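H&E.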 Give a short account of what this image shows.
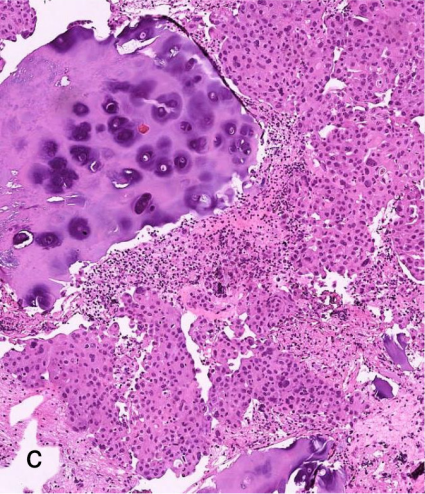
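A nodule of hyaline cartilage lies at upper left: a purple matrix holding chondrocytes in rounded lacunae. Beside it runs a band of small, dark, round lymphocytes. Beyond them, a tumour of sheets and nests of larger polygonal cells fills the rest of the field; these cells have pink cytoplasm and round to oval nuclei.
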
